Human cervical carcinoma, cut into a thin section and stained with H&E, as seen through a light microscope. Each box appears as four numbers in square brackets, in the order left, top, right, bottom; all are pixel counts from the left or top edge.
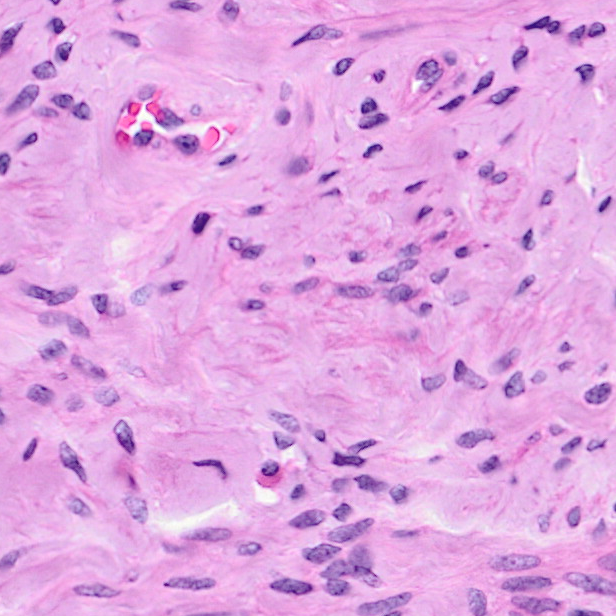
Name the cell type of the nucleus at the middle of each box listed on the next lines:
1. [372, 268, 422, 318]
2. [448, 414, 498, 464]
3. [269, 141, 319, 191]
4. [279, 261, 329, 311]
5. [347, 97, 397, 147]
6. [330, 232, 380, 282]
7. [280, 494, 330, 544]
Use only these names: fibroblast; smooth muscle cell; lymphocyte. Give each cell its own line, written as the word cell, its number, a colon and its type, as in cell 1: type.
cell 1: smooth muscle cell
cell 2: fibroblast
cell 3: fibroblast
cell 4: smooth muscle cell
cell 5: fibroblast
cell 6: smooth muscle cell
cell 7: fibroblast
